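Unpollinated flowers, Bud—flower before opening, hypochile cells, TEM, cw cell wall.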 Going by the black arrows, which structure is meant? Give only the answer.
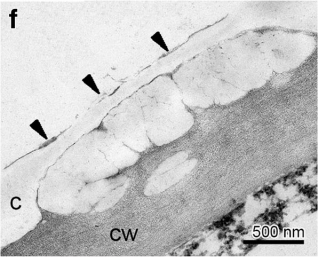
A: The secretory material on the cuticle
